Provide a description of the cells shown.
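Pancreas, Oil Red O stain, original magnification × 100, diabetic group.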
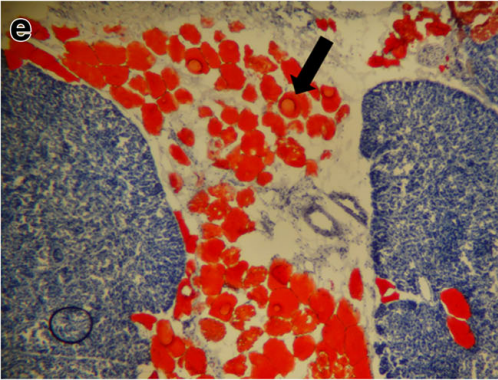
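This pancreatic section shows a broad band of red-orange stained fat lying between two lobules of blue-stained tissue. The lobules on the left and right stain blue and consist of densely packed small cells. Within the pale band between the lobules lie a few small duct- or vessel-like profiles with thin walls. Further small red-orange patches are scattered at the upper edge of the field.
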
